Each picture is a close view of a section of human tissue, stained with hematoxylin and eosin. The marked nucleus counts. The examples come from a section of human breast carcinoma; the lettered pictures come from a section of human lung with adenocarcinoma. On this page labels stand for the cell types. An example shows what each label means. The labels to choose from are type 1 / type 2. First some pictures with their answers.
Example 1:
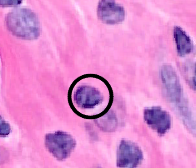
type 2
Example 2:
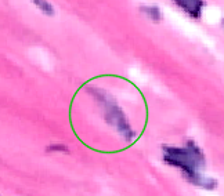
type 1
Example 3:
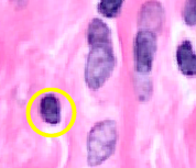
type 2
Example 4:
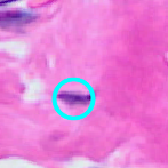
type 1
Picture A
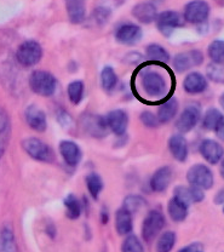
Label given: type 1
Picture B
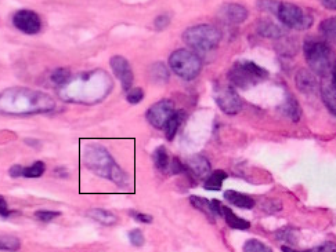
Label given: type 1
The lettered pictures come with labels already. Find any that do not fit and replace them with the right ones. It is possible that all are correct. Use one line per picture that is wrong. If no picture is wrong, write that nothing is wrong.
A: not type 1 but type 2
